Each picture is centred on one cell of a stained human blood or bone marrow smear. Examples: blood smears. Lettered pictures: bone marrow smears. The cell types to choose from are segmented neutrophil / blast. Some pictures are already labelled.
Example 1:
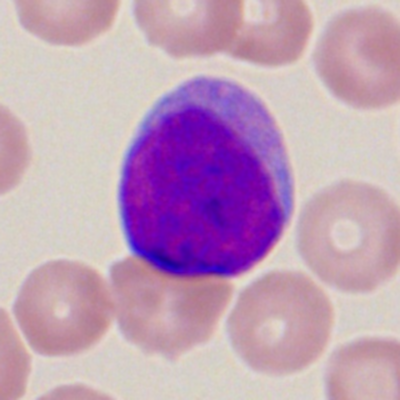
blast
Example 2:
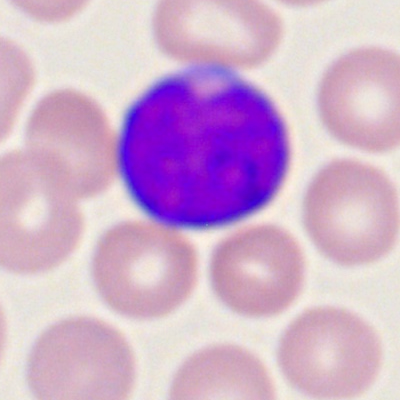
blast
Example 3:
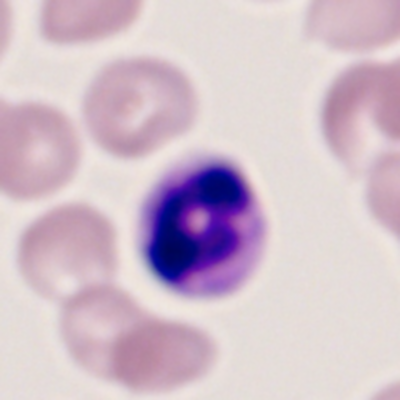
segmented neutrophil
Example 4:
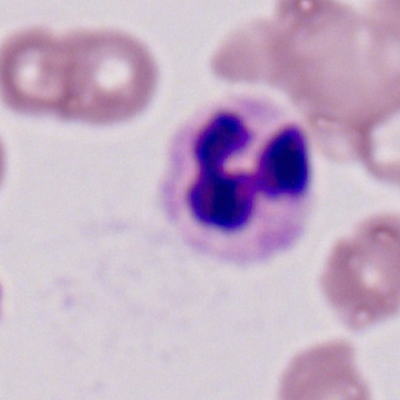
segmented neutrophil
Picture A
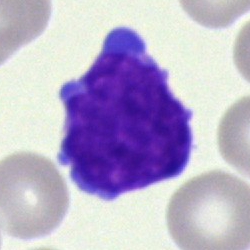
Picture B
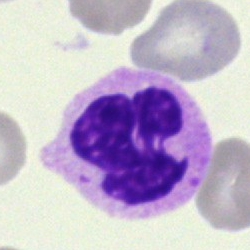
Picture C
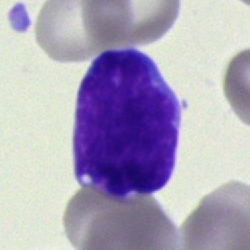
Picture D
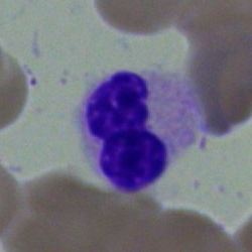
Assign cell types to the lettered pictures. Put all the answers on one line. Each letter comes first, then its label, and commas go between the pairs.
A blast, B segmented neutrophil, C blast, D segmented neutrophil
